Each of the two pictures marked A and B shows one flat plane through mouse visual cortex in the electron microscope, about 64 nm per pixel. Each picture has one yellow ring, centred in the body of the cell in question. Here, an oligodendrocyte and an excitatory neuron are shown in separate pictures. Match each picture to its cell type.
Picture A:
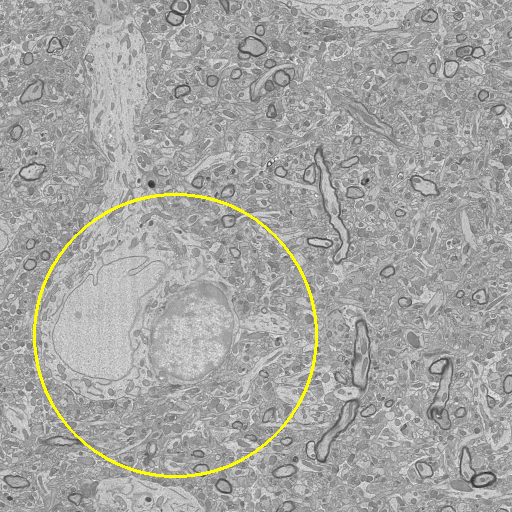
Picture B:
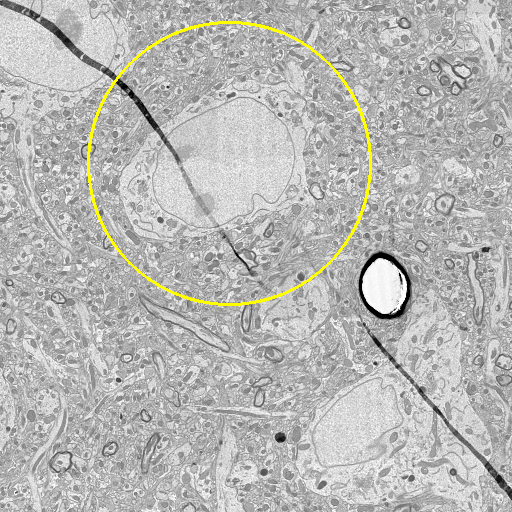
Picture A shows an oligodendrocyte and picture B shows an excitatory neuron.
